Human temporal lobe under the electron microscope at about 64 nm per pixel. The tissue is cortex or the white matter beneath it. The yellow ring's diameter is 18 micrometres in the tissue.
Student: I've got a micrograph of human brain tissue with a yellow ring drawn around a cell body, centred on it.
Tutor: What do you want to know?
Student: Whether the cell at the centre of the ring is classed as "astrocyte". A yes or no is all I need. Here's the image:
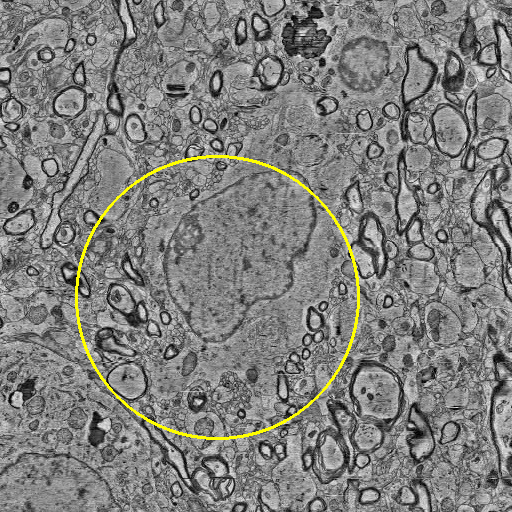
yes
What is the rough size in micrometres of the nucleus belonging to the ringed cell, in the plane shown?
About 12 micrometres by about 8 micrometres in this plane.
